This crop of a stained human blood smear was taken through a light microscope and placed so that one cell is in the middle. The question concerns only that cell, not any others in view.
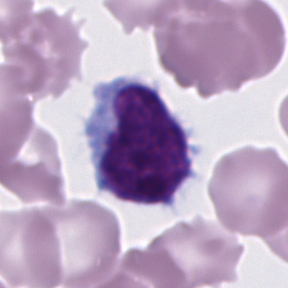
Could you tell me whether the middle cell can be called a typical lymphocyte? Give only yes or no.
no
